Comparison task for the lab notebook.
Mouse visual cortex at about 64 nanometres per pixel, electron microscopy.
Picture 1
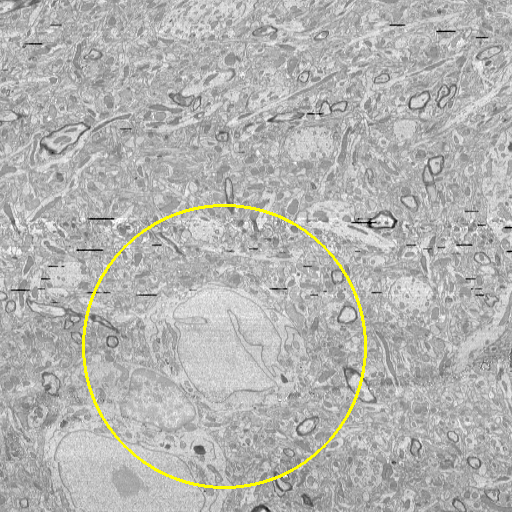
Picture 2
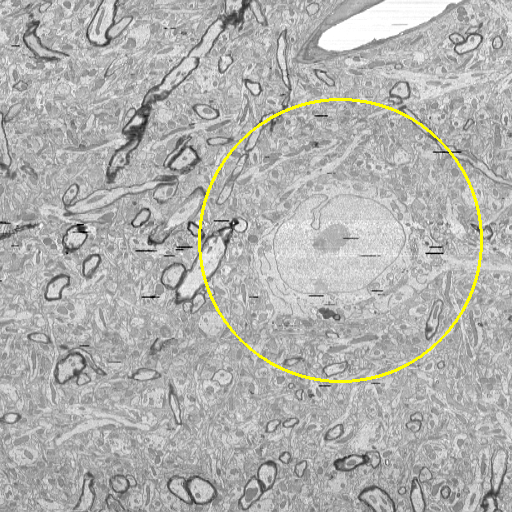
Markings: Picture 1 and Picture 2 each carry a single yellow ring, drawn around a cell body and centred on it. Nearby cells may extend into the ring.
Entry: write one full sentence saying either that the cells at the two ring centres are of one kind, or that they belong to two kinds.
The cells sitting at the ring centres in Picture 1 and Picture 2 are of one kind.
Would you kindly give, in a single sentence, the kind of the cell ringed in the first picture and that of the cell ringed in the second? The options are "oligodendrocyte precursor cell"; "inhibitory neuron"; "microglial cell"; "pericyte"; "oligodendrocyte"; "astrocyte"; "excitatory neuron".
Each cell at the centre of a ring is an excitatory neuron.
